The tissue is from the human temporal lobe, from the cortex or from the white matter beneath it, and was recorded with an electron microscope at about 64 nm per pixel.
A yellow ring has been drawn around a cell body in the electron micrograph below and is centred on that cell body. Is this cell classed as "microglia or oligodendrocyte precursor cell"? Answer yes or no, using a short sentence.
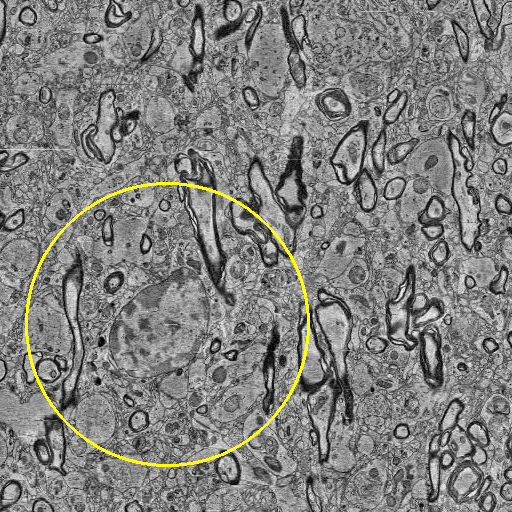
Yes, it is classed as that kind.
